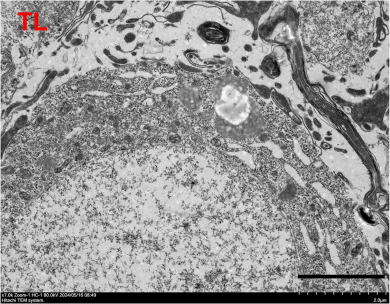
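This electron micrograph shows part of a neuron, with a large, pale, finely granular nucleus taking up the lower half of the field and bounded by a curving nuclear envelope. The band of cytoplasm above it is dense and crowded with membranes and small organelles. Within this cytoplasm sits a bright, irregular, lobulated inclusion. In the neuropil at the top right, dark ring-shaped and lamellar profiles of myelinated fibres lie among pale, swollen-looking spaces.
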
